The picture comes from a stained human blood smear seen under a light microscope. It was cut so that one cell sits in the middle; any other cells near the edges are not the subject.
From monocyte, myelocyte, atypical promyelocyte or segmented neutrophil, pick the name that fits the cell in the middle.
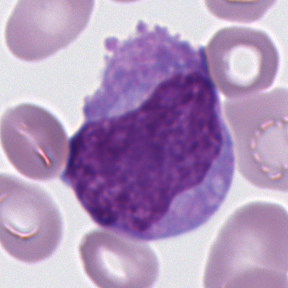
atypical promyelocyte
